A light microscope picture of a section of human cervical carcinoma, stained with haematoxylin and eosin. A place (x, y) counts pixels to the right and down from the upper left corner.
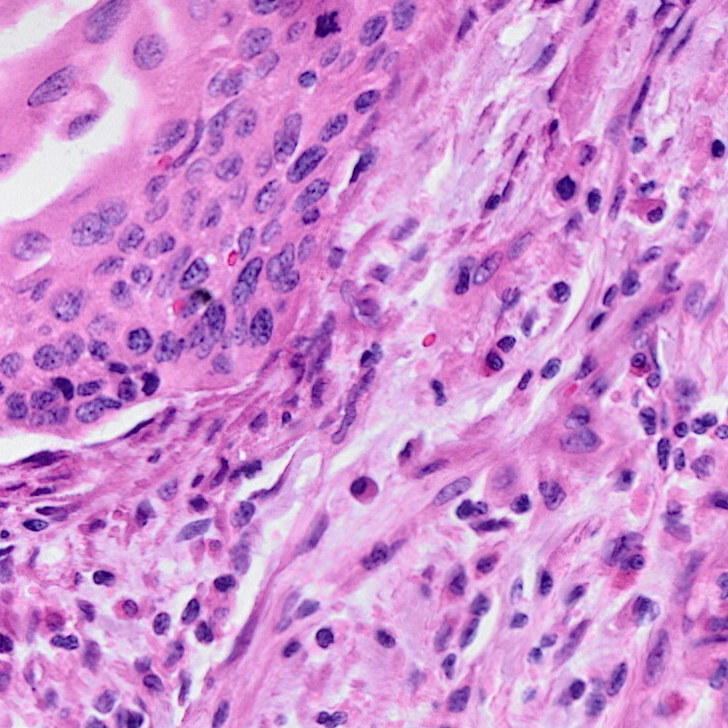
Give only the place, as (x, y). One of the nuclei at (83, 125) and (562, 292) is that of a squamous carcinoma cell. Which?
(83, 125)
